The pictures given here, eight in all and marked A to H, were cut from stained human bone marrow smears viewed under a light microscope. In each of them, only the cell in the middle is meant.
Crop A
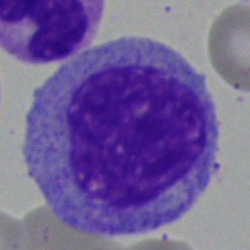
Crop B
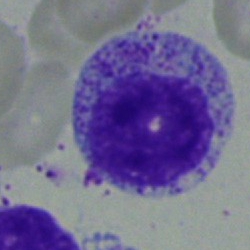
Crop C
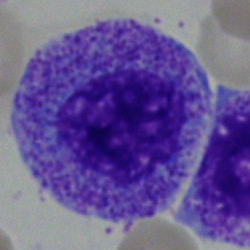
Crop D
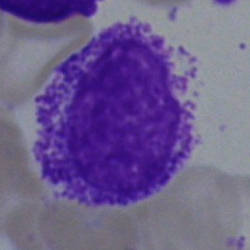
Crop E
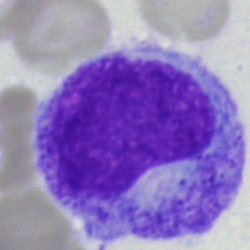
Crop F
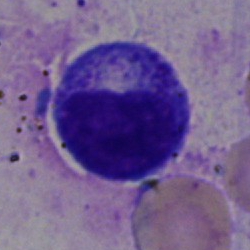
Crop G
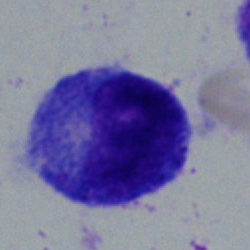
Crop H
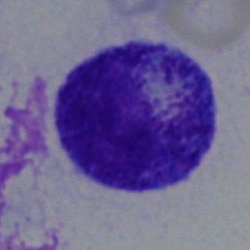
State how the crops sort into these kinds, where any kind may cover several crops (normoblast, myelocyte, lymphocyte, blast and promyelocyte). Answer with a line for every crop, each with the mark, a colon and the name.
A: promyelocyte
B: myelocyte
C: promyelocyte
D: myelocyte
E: promyelocyte
F: myelocyte
G: promyelocyte
H: promyelocyte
